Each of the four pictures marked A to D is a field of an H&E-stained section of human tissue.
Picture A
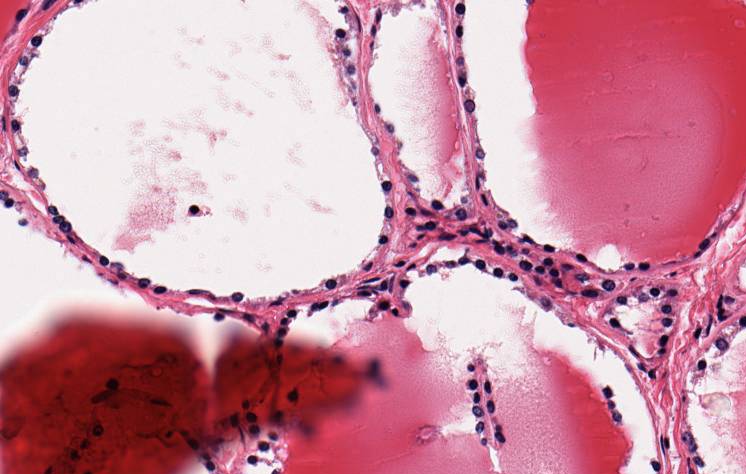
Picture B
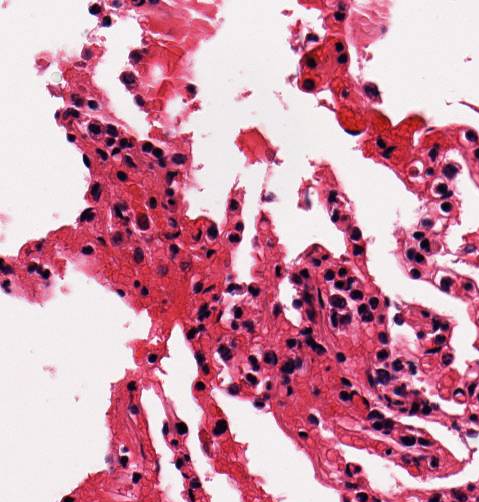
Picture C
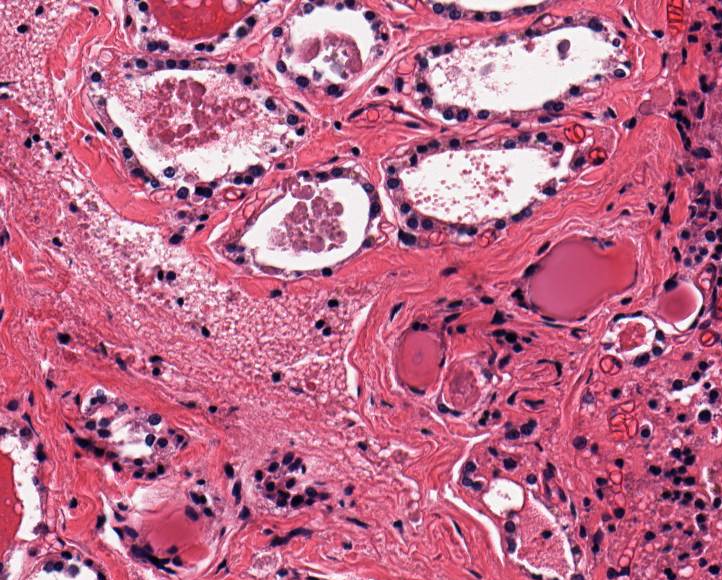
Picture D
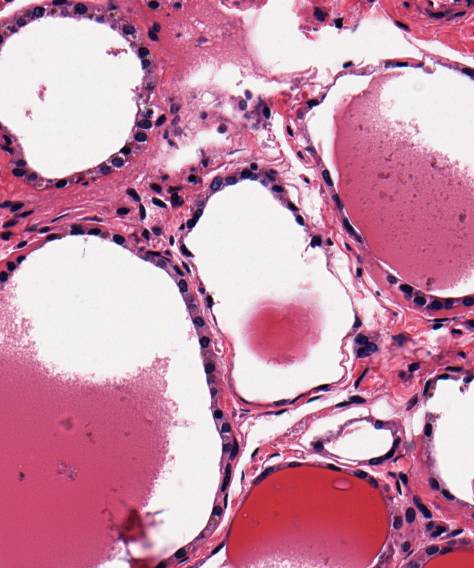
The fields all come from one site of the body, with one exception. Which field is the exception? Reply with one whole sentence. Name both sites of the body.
All pictures except B come from the thyroid; picture B comes from the lung.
